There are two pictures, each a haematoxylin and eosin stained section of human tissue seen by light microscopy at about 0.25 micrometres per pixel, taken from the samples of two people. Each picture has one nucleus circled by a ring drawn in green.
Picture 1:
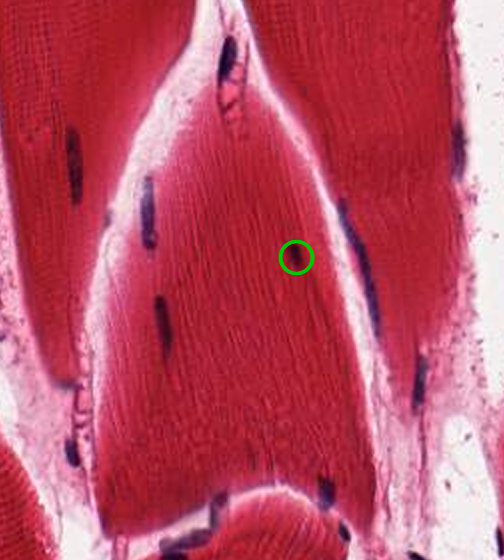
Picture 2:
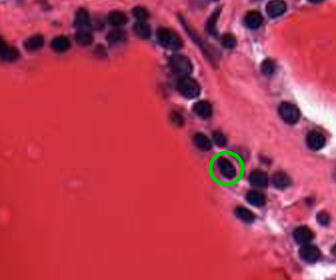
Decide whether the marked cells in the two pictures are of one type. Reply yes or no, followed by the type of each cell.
No, the first is a skeletal muscle fibre and the second a thyroid follicular cell.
